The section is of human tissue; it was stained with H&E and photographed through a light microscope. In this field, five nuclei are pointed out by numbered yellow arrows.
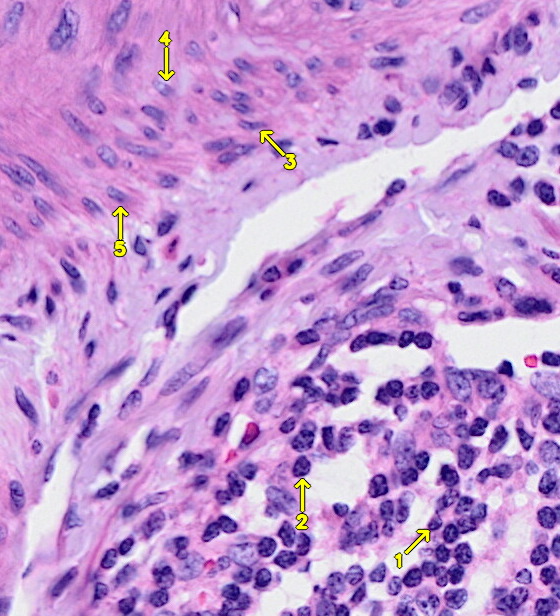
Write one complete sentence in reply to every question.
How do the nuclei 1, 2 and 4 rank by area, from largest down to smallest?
By area, largest first, they run 2, 4, 1.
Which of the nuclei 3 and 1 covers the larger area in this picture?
At about 1.5 times the area of nucleus 1, nucleus 3 is the larger of the two.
